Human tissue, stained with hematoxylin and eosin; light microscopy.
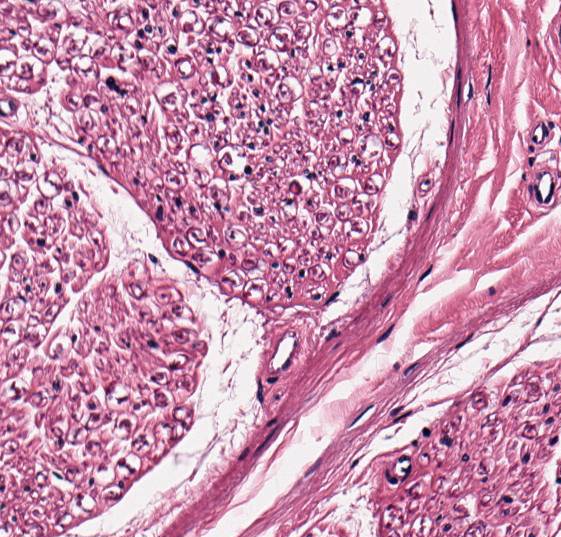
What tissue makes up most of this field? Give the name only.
nerve fascicle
